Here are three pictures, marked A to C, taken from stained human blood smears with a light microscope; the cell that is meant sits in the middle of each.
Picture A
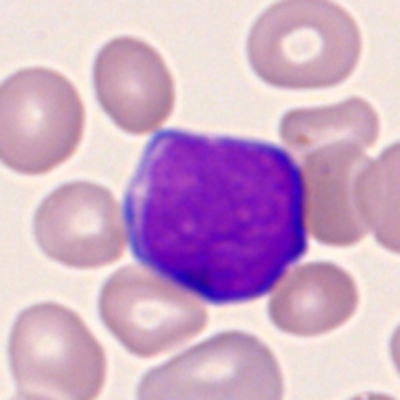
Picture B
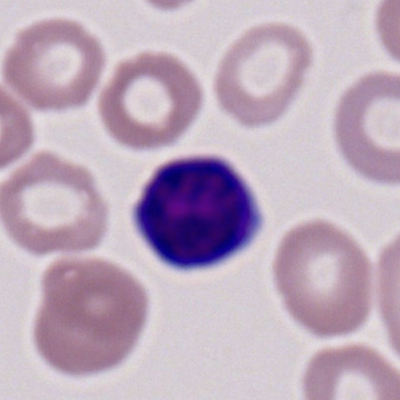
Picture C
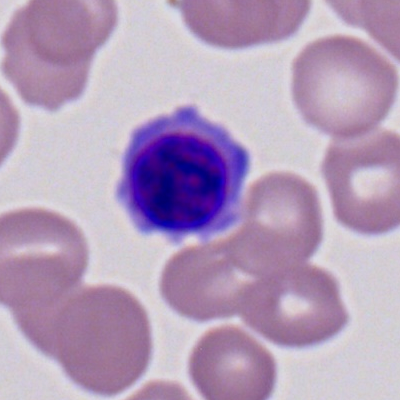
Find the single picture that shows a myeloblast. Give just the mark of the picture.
A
